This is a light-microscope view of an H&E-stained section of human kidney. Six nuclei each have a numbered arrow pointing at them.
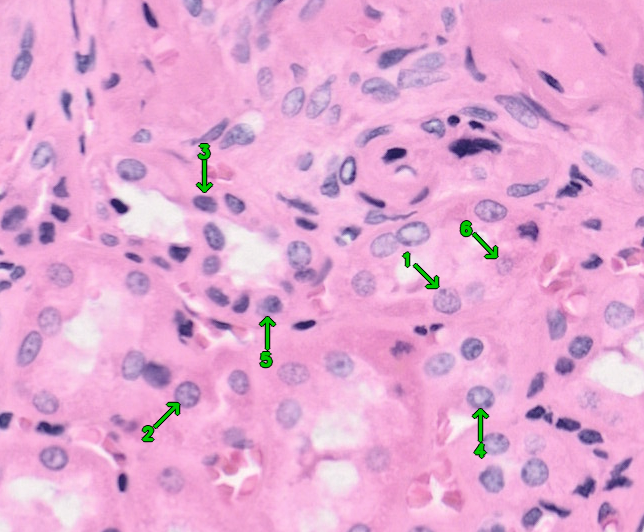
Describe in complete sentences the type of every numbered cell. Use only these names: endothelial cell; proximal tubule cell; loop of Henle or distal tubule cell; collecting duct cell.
Cells 1, 2 and 6 are proximal tubule cells. Cells 3, 4 and 5 are collecting duct cells.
